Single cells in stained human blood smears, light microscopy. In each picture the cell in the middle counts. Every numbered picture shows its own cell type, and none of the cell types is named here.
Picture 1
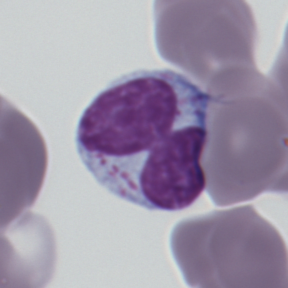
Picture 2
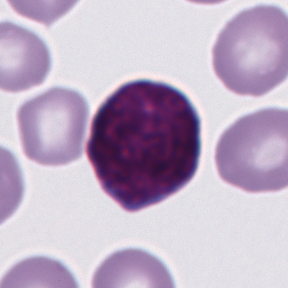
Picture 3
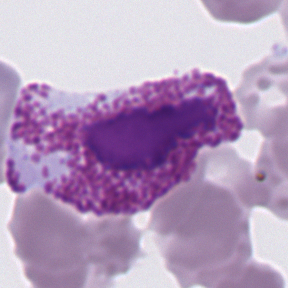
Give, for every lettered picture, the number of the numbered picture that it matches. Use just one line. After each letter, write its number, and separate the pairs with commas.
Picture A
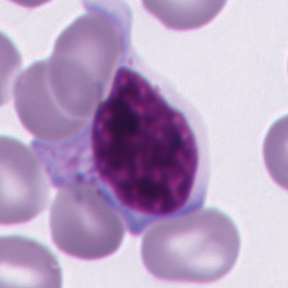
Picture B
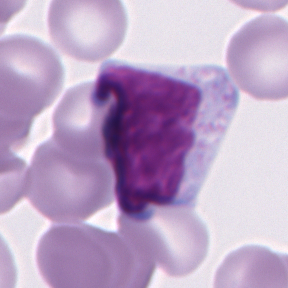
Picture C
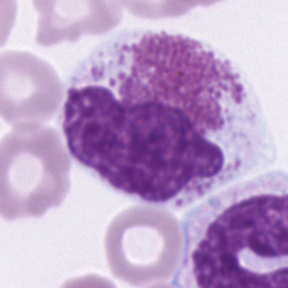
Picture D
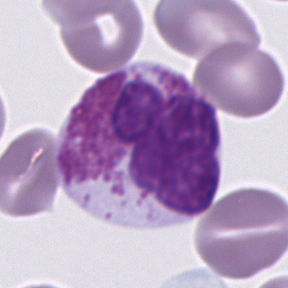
A 1, B 1, C 3, D 3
